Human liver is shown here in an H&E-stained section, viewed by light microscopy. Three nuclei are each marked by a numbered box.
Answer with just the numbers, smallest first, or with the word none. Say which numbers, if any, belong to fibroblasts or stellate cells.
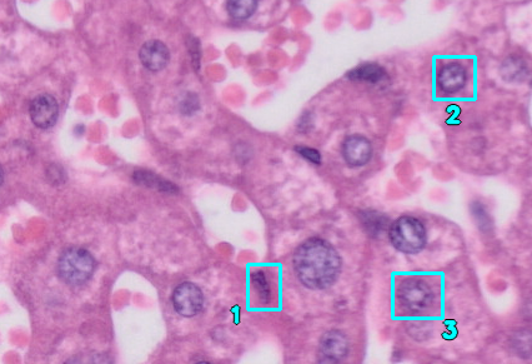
1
